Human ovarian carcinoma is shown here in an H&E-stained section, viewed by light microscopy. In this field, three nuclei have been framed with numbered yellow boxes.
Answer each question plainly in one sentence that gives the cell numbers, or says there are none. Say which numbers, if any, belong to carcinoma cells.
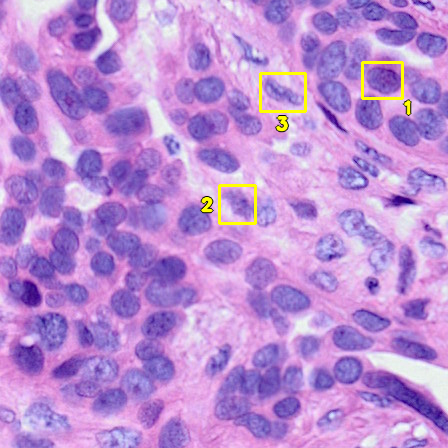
Cell 1 is a carcinoma cell, and that holds for no other numbered cell.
